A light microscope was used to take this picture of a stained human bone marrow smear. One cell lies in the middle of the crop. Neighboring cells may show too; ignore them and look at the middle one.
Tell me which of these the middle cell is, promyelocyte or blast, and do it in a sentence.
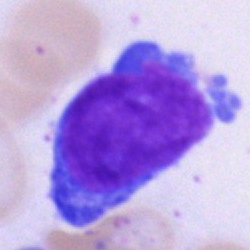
Centred in the crop is a blast.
